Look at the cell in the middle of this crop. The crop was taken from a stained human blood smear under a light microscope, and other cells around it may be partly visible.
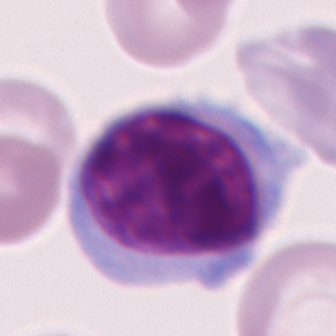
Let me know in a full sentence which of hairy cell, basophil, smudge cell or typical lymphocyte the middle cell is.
Here the centrally located cell is a typical lymphocyte.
